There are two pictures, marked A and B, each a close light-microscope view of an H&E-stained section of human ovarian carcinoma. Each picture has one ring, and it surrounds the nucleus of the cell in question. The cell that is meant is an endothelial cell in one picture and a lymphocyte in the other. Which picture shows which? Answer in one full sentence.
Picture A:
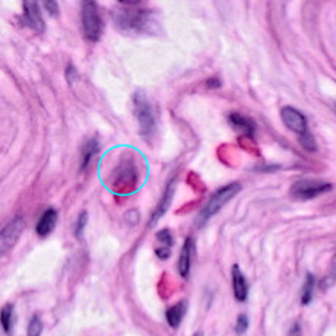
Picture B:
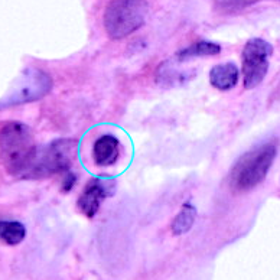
Picture B shows a lymphocyte, while picture A shows an endothelial cell.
